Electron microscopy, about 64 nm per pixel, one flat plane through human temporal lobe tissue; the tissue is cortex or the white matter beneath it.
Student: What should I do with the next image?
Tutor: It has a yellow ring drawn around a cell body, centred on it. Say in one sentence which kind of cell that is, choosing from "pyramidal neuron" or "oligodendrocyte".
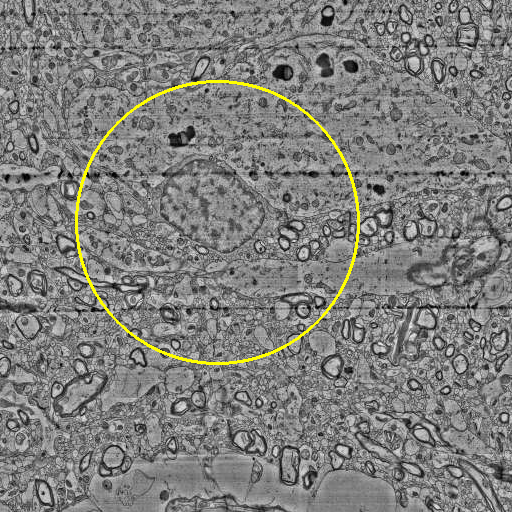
The ring's centre is occupied by an oligodendrocyte.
